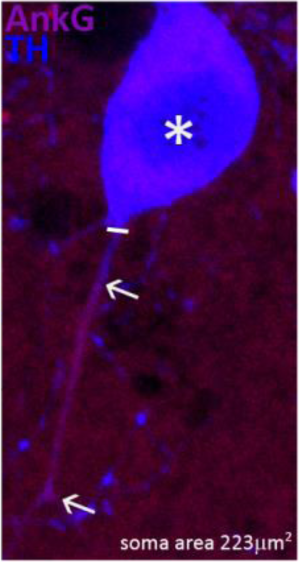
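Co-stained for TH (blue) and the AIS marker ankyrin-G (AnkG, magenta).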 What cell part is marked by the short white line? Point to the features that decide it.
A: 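Axonal process. A large blue cell body tapers at its lower pole into a single thin process. The short white line sits where this thin process leaves the cell body. The process runs down for a long distance without branching.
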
